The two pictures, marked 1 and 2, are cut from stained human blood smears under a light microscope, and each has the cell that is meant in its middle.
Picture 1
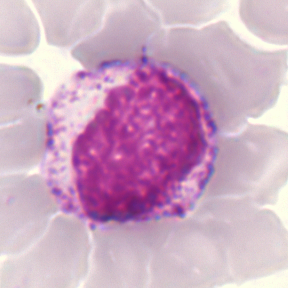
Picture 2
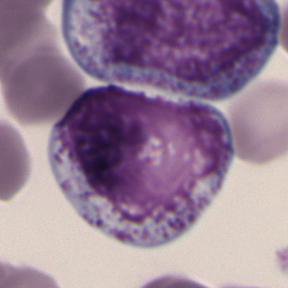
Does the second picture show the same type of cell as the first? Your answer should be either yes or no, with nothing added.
yes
